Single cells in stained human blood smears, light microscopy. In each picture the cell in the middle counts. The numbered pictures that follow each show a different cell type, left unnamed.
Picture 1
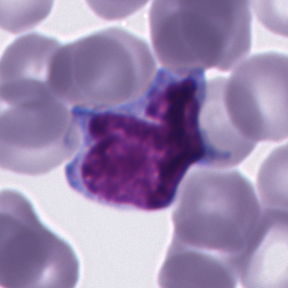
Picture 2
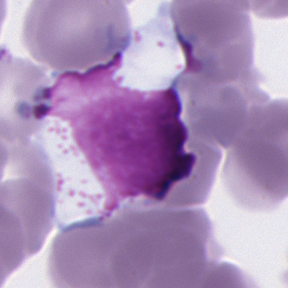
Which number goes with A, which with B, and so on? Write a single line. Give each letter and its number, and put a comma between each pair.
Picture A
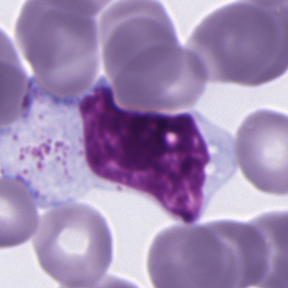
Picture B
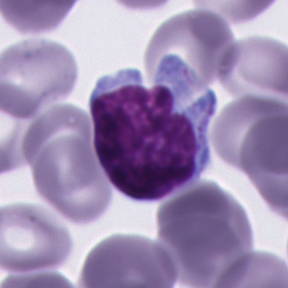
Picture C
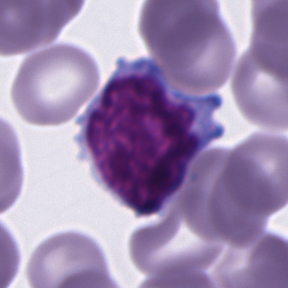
A 2, B 1, C 1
